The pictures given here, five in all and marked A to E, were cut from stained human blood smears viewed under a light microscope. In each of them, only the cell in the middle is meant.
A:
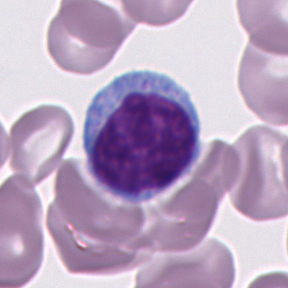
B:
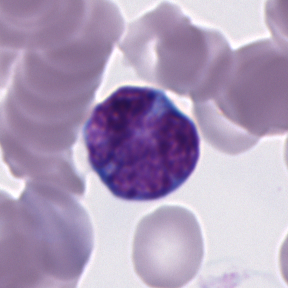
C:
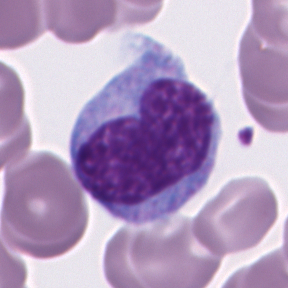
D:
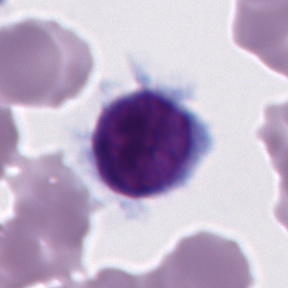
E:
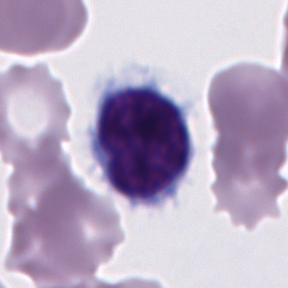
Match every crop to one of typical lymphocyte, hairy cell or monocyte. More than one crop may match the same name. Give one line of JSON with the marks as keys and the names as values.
{"A": "typical lymphocyte", "B": "typical lymphocyte", "C": "monocyte", "D": "hairy cell", "E": "hairy cell"}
